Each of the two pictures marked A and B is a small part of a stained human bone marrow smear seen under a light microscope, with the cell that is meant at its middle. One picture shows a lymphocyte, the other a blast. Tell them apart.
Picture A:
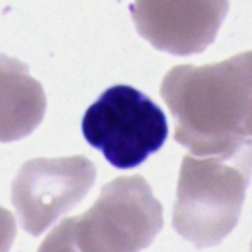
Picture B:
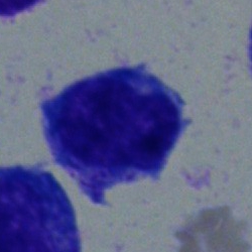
A: lymphocyte
B: blast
